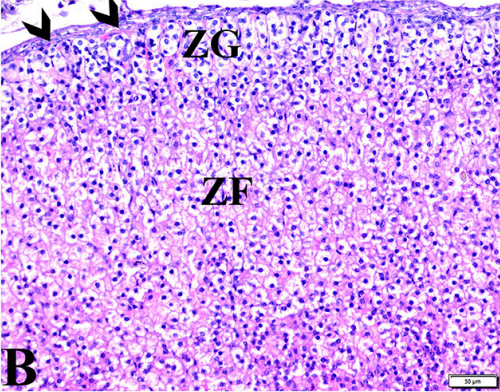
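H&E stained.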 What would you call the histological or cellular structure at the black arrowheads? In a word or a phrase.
Thin connective tissue capsules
